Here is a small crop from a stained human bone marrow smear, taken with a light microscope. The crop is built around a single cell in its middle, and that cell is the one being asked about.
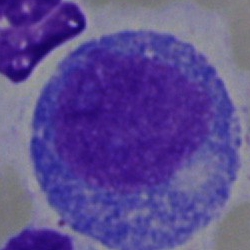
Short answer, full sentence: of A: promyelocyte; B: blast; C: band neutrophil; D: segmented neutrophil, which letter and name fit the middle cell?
Option A is the correct one; it names the central cell as a promyelocyte.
